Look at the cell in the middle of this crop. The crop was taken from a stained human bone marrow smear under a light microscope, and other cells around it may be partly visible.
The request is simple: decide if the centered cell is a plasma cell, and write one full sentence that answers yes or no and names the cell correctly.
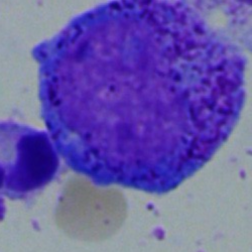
No, the central cell isn't a plasma cell, but a promyelocyte.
